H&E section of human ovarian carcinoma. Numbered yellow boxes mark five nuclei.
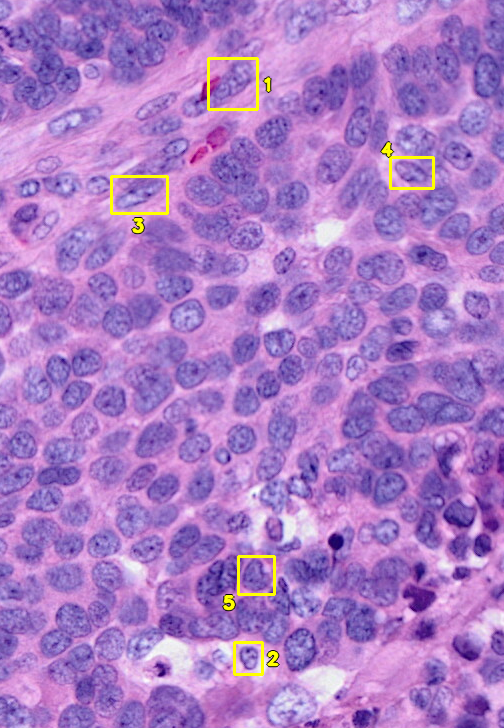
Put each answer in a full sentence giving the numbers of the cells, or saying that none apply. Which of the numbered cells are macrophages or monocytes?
Cells that were given the numbers 2 and 4 are macrophages or monocytes.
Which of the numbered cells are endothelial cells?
Of those with numbers, only cell 1 is an endothelial cell.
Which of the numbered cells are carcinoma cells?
Cell 5 alone, of all the numbered cells, is a carcinoma cell.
